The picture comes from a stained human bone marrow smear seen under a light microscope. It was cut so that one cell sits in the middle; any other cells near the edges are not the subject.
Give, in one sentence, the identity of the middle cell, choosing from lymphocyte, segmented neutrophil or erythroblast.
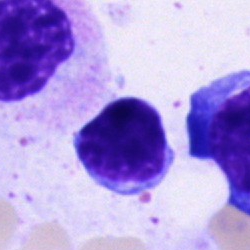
At the center of the crop sits a lymphocyte.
